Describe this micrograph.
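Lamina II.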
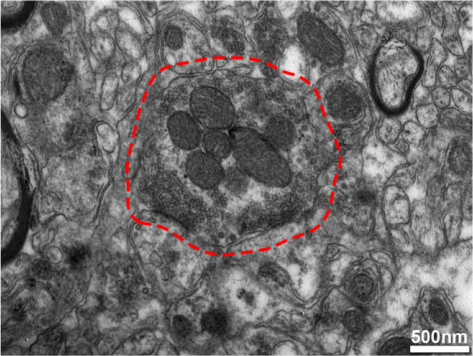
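This electron micrograph of the superficial dorsal horn shows a glomerular central bouton, a large rounded axon terminal outlined in the middle of the field. Inside it lies a cluster of several dark mitochondria with visible cristae, set among many small synaptic vesicles. The terminal is ringed by many smaller neuronal profiles, dendrites and axons, that press against its surface, forming a synaptic glomerulus. Around it the neuropil contains further small profiles, mitochondria and a few myelinated axons with dark rings of myelin. The terminal appears intact without vacuoles or dense inclusions.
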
